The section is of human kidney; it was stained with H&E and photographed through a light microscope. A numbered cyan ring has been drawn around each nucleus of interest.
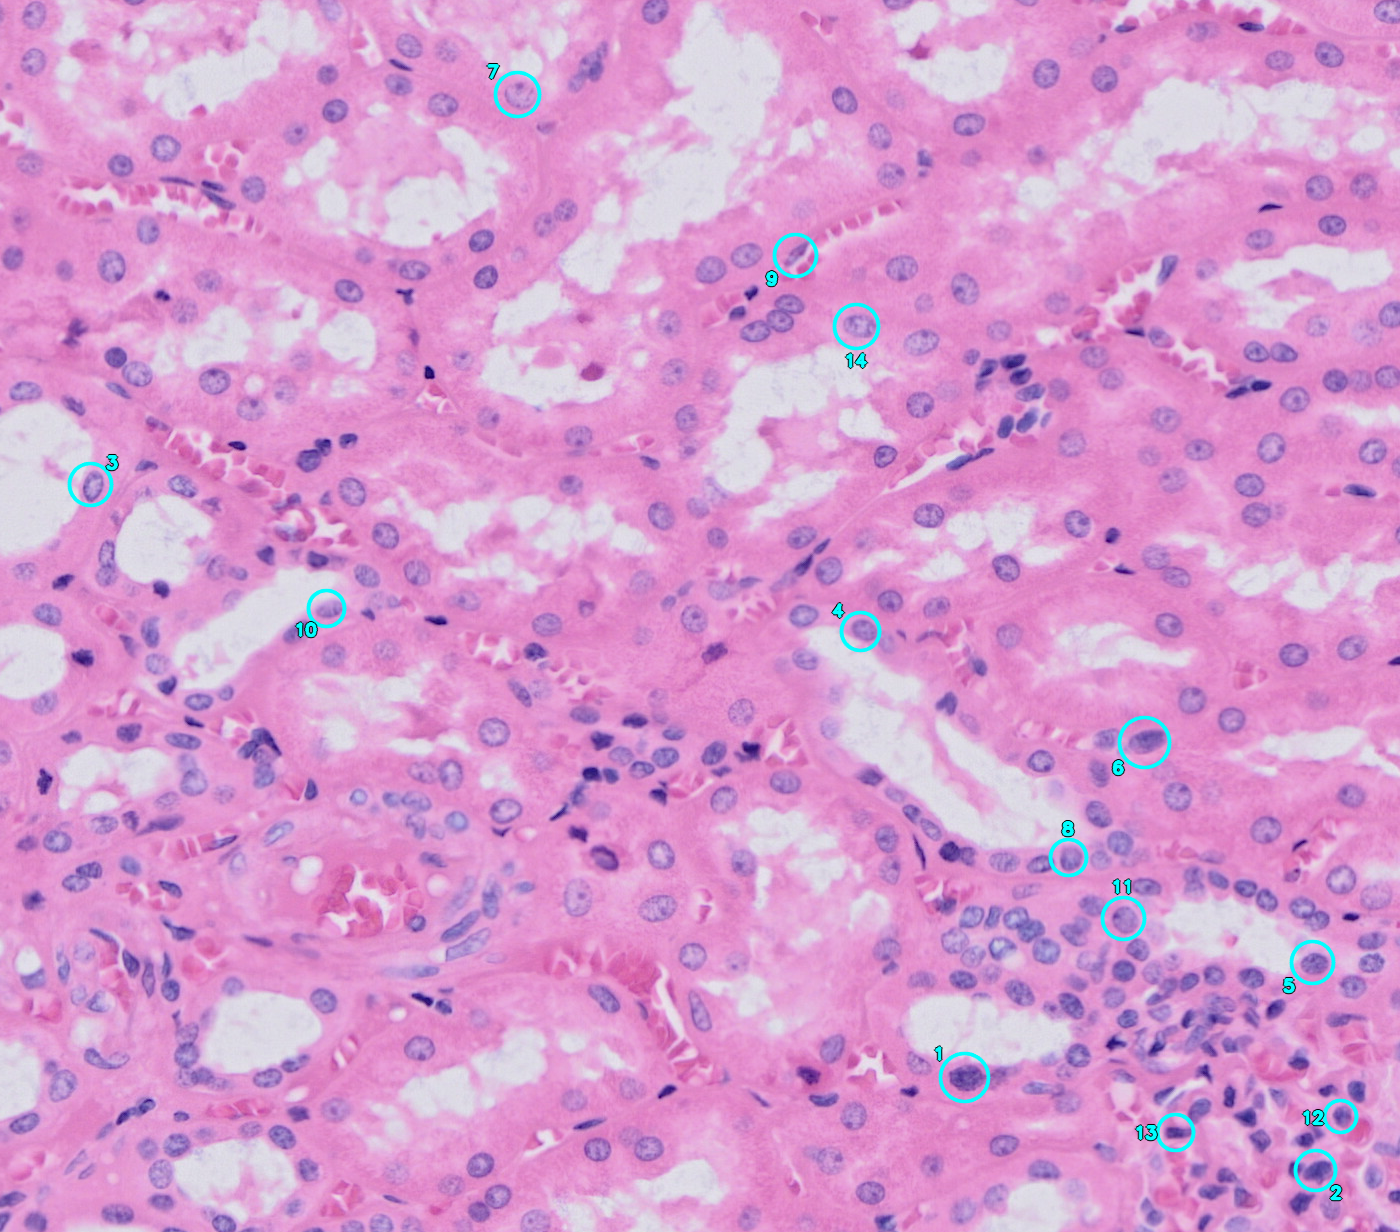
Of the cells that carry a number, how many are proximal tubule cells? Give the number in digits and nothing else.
2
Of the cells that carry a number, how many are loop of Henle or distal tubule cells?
4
